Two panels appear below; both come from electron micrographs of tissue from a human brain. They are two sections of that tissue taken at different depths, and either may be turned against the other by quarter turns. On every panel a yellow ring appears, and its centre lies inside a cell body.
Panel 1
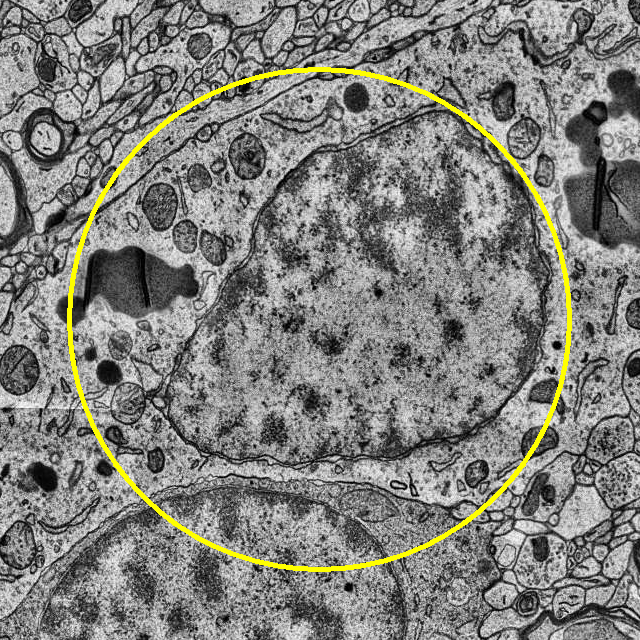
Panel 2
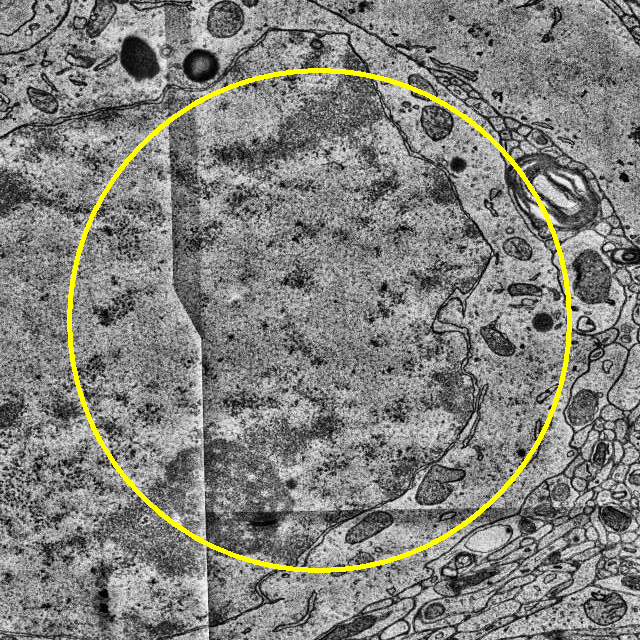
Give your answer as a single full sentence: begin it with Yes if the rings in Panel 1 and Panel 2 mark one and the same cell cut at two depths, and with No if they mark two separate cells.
No, the rings single out two cells that are separate from each other.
